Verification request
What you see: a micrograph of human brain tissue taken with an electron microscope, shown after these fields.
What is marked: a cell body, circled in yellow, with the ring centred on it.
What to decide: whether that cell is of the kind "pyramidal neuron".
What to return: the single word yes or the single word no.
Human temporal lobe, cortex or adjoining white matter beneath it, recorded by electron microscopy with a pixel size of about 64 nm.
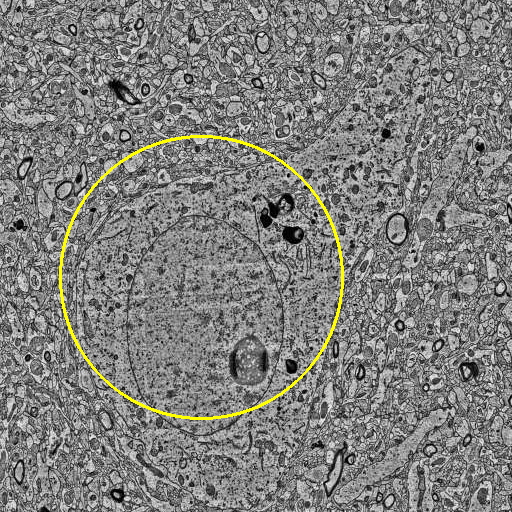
yes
